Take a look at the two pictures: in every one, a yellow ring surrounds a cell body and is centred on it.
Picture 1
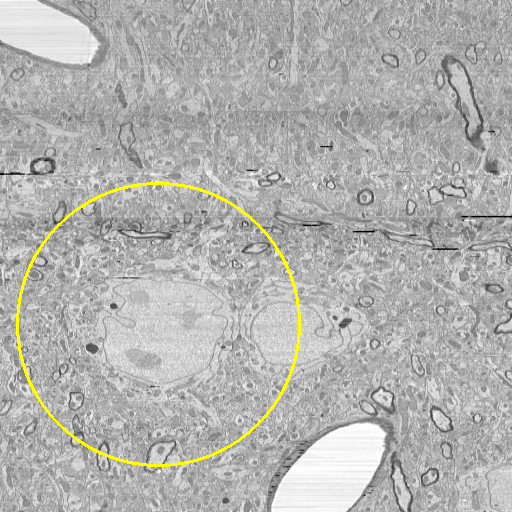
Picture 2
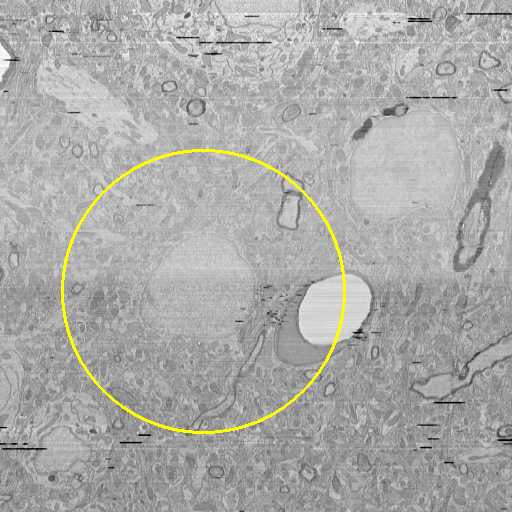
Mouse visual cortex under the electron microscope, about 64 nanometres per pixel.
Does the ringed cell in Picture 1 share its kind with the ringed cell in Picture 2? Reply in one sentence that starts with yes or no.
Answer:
No, the two centred cells, one per picture, are of two kinds.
